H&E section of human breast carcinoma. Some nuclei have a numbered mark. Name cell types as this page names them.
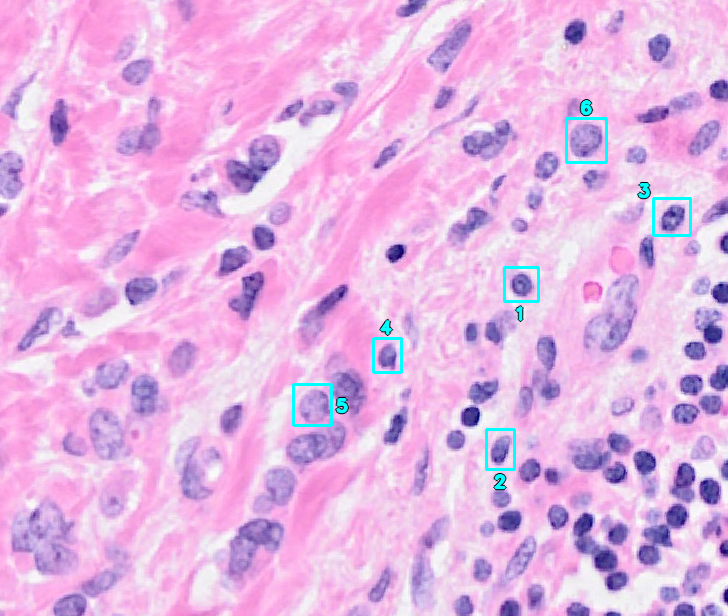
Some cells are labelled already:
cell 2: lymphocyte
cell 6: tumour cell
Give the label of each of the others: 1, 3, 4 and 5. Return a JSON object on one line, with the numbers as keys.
{"1": "lymphocyte", "3": "lymphocyte", "4": "lymphocyte", "5": "tumour cell"}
